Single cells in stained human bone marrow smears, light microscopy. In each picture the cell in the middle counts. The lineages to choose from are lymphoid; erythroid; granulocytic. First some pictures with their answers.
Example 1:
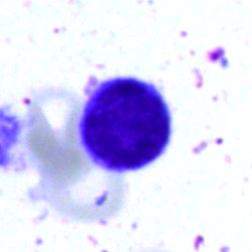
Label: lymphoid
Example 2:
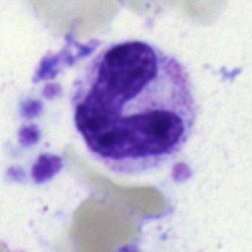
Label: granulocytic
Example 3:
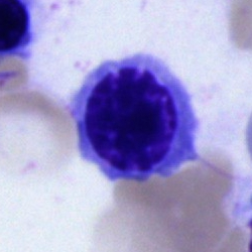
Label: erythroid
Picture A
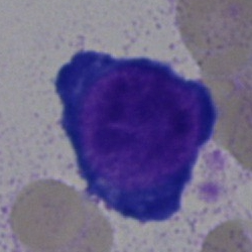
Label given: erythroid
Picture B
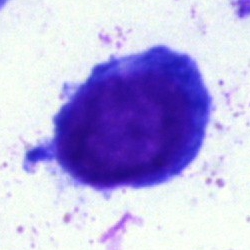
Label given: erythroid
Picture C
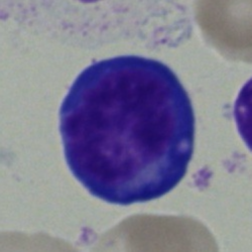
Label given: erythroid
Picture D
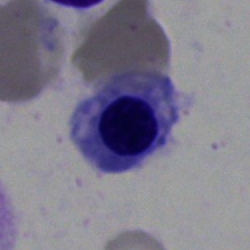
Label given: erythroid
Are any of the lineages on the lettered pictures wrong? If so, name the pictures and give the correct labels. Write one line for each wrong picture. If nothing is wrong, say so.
All labels are correct.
